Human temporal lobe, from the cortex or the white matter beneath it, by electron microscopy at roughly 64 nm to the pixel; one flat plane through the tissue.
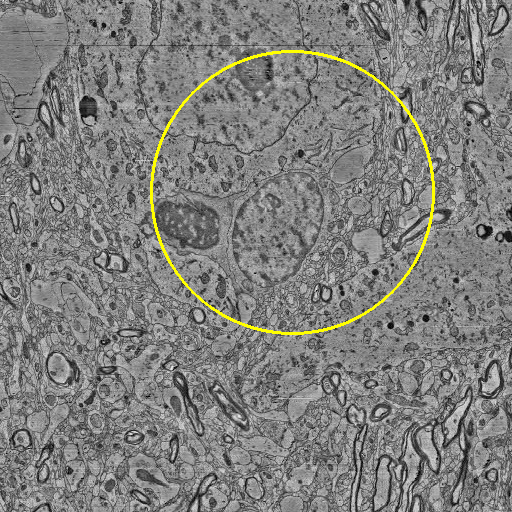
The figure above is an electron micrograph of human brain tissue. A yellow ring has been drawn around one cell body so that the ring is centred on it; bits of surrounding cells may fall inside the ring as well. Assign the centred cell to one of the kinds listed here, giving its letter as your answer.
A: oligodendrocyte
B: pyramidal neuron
A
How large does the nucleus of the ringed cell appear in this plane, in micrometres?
The ringed cell's nucleus measures approximately 8 by 5 micrometres in this plane.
